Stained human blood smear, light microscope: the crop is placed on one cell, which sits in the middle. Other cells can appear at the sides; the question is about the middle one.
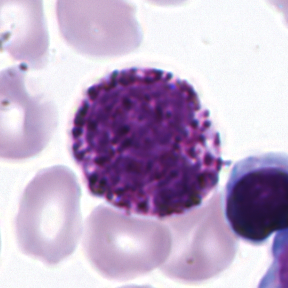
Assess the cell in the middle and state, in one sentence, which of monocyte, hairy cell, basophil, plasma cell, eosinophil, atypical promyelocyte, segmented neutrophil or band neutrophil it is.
At the center of the crop sits a basophil.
